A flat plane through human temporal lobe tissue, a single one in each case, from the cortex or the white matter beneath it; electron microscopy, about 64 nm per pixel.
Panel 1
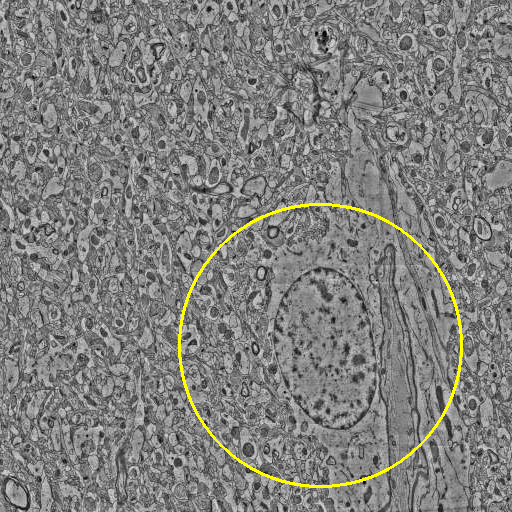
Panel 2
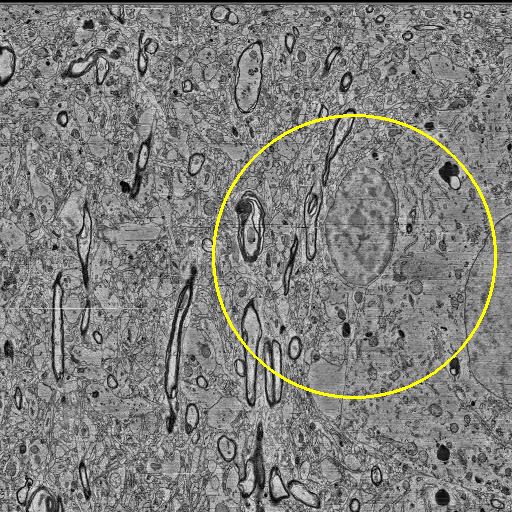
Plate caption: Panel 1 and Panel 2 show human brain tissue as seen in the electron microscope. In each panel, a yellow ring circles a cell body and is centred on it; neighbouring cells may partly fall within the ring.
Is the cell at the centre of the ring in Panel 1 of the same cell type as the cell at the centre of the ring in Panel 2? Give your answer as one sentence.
No, the two cells are of two types.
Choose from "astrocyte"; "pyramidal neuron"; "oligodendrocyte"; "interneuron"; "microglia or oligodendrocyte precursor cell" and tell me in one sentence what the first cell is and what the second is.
What the first ring is centred on is an astrocyte; what the second ring is centred on is an oligodendrocyte.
